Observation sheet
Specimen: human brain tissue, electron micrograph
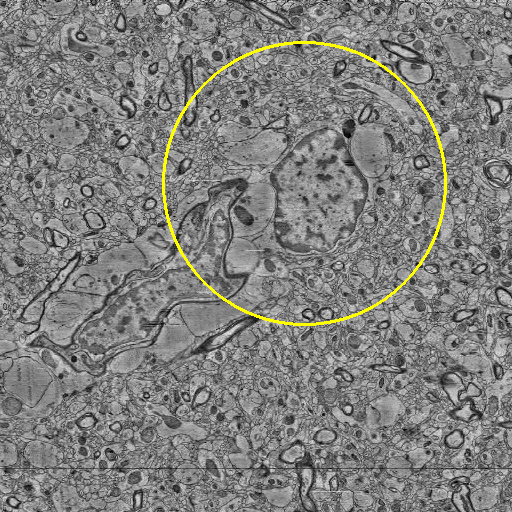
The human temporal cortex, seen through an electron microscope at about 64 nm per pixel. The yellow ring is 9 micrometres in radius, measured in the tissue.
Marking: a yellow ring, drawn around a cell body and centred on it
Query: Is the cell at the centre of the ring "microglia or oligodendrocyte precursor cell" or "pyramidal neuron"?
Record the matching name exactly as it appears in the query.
microglia or oligodendrocyte precursor cell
